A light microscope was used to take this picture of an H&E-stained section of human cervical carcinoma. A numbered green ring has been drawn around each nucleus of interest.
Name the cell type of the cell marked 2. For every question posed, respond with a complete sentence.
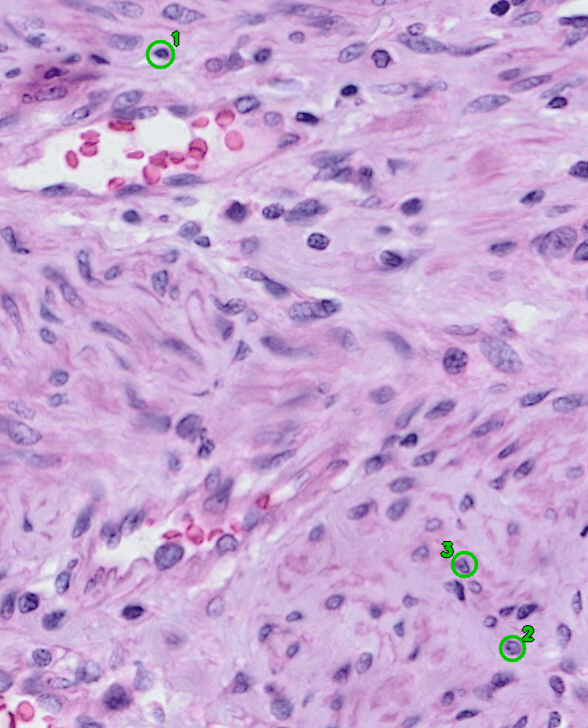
Cell 2, as marked in the section, is a smooth muscle cell.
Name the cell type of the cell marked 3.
The cell numbered 3 has been identified as a smooth muscle cell.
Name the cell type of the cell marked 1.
The cell pointed out by number 1 is a lymphocyte.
